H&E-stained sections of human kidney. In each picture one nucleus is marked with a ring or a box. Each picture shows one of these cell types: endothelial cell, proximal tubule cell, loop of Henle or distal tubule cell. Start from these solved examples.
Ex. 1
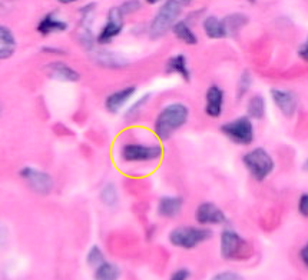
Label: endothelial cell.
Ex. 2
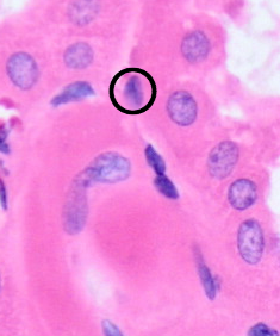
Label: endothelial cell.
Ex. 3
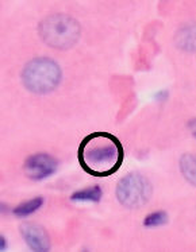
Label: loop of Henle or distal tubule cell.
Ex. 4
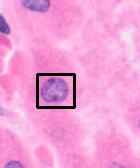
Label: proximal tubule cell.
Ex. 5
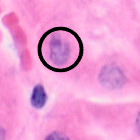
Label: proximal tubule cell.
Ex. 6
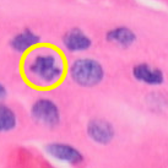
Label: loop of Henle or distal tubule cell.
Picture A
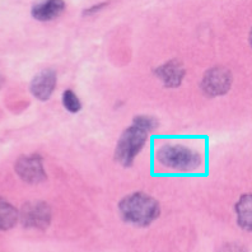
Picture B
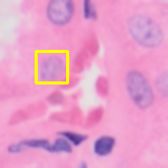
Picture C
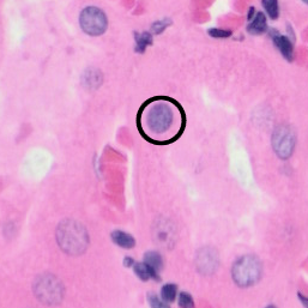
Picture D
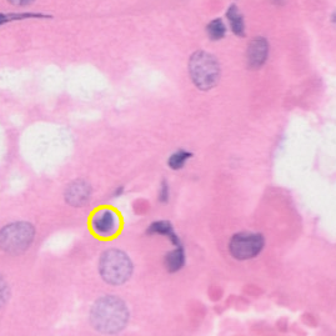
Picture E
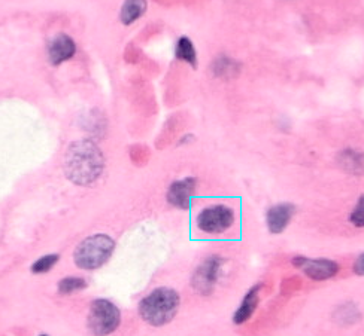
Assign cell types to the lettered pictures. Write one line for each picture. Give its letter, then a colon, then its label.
A: endothelial cell.
B: proximal tubule cell.
C: proximal tubule cell.
D: endothelial cell.
E: loop of Henle or distal tubule cell.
